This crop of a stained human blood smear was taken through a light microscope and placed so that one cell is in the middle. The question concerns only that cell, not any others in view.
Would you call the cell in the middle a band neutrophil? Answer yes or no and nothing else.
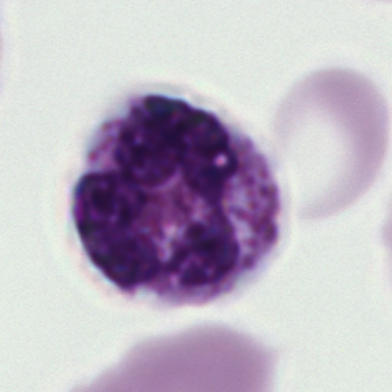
no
